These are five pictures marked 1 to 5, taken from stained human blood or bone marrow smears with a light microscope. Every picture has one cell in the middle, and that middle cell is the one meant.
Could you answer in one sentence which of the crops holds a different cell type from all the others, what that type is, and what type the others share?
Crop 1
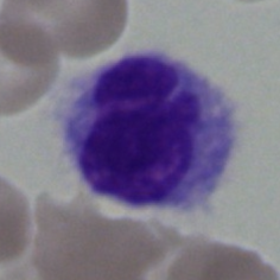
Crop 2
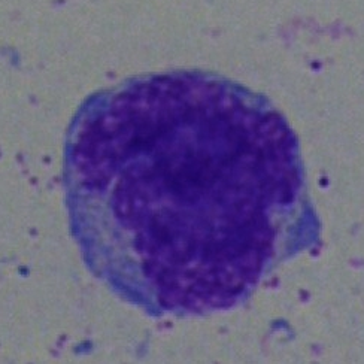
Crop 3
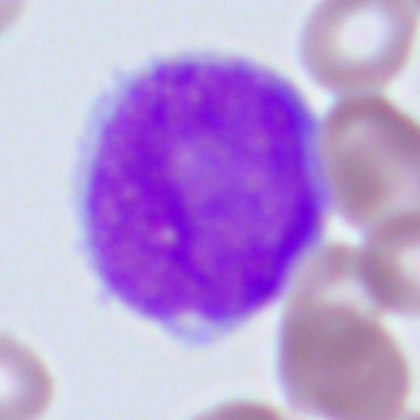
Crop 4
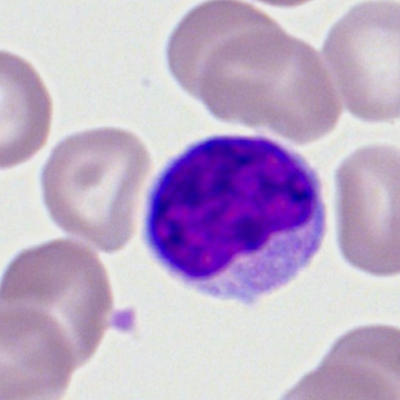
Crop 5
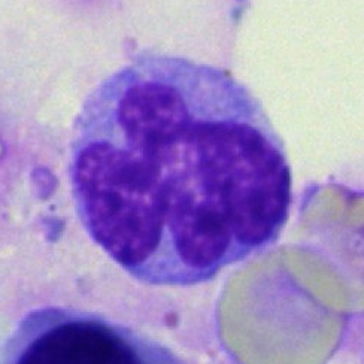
The outlier here is crop 4, which is a lymphocyte, while the remainder show monocytes.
